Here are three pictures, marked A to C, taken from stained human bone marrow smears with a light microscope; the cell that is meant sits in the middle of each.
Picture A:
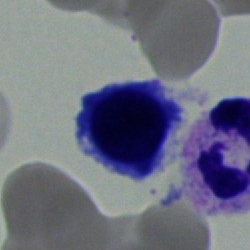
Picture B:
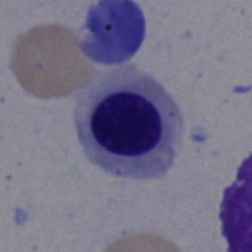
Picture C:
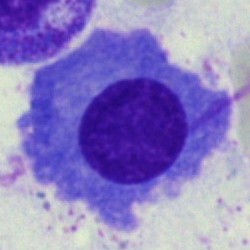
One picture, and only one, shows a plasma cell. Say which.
C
